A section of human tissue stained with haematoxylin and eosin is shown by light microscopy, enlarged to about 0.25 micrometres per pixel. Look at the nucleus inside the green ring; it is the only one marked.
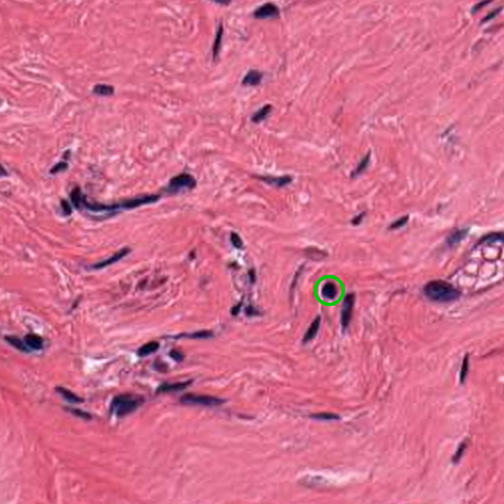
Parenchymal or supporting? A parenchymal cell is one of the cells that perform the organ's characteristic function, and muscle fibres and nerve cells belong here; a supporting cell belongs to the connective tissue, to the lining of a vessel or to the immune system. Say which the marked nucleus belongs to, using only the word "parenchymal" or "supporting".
supporting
